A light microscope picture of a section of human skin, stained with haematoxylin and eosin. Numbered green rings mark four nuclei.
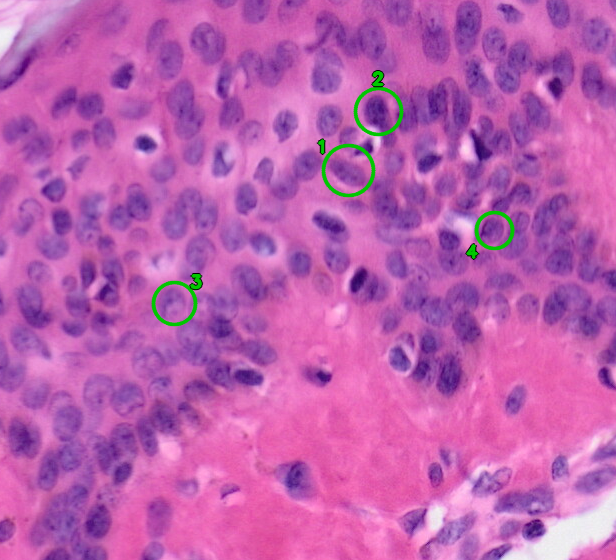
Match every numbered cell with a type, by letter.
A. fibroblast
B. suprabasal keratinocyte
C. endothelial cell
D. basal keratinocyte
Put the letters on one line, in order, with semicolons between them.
D; D; B; D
